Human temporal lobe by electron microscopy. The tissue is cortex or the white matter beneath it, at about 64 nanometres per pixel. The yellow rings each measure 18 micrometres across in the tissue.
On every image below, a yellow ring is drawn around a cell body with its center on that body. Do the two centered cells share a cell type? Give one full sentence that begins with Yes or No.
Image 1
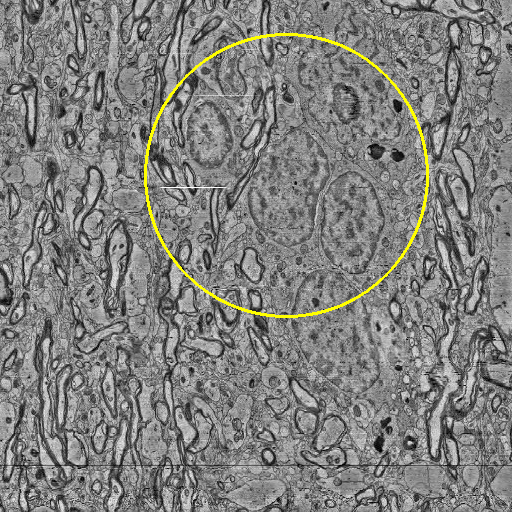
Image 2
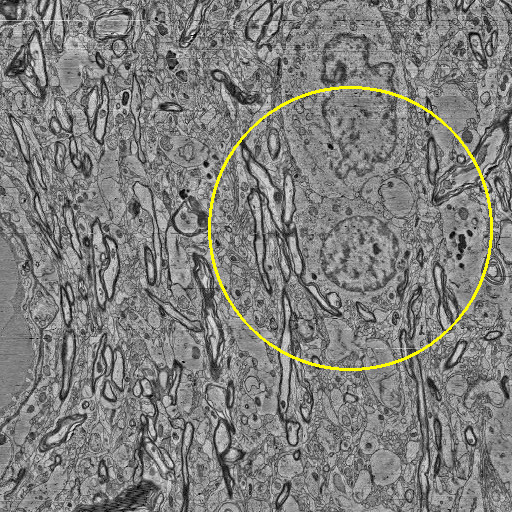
Yes, the centered cells in the two images are of a single cell type.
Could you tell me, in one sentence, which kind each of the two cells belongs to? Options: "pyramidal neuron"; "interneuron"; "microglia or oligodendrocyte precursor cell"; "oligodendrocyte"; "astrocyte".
The cell in the first picture is an oligodendrocyte, and so is the one in the second.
